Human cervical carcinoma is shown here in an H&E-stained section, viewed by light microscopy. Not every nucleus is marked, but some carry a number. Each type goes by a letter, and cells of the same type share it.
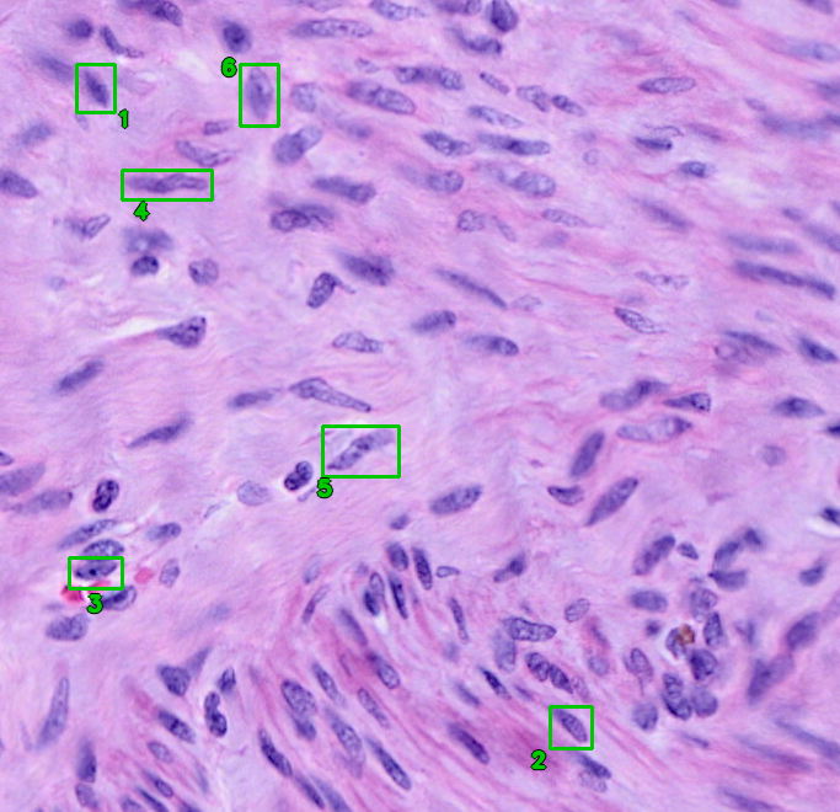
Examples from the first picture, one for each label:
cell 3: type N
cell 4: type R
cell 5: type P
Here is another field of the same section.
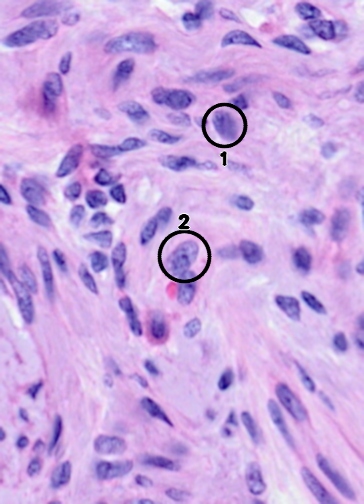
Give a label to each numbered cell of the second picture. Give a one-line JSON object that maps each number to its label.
{"1": "type P", "2": "type N"}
